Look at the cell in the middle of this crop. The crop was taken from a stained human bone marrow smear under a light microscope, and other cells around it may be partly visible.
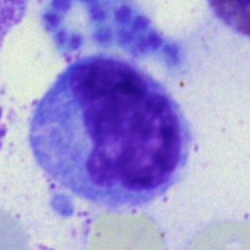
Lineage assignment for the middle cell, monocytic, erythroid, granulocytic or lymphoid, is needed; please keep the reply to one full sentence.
Lineage field for the centered cell should read monocytic.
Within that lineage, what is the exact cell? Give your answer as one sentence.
The cell at the central position in this crop is a monocyte.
